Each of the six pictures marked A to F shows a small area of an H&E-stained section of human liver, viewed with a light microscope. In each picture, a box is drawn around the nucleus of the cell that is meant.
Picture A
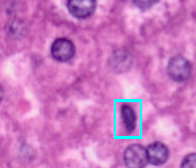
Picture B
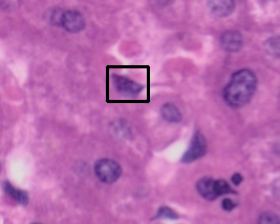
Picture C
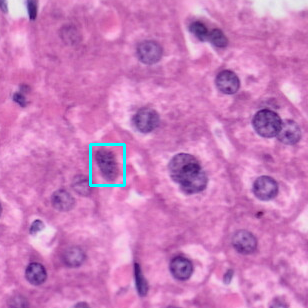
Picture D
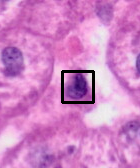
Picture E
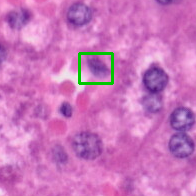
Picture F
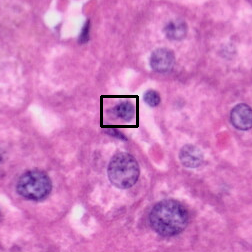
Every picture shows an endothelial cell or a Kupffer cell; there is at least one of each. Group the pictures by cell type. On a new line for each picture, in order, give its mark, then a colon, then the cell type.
A: Kupffer cell
B: endothelial cell
C: Kupffer cell
D: Kupffer cell
E: endothelial cell
F: Kupffer cell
